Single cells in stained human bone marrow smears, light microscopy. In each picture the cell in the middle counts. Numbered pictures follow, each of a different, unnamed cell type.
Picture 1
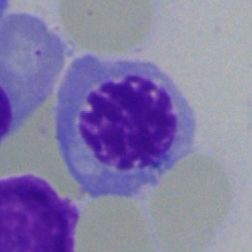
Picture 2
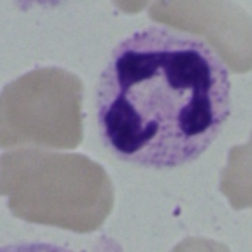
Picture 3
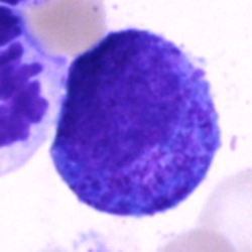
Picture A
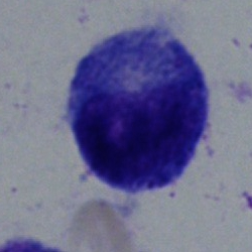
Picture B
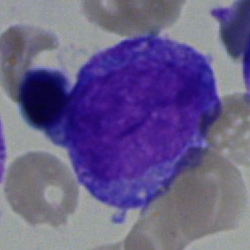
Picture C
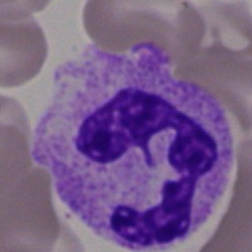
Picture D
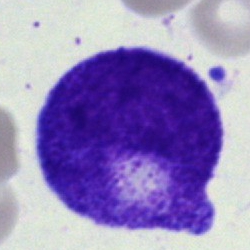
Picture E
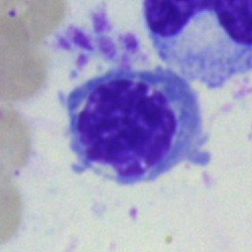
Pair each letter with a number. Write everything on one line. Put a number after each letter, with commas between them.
A 3, B 3, C 2, D 3, E 1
